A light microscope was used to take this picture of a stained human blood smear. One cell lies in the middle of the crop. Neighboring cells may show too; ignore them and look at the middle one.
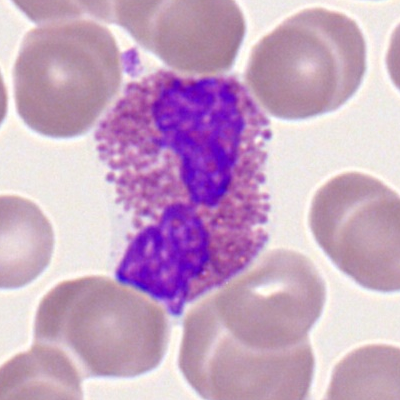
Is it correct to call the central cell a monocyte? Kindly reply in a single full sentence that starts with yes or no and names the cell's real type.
No, the cell in the centre of the crop is an eosinophil as opposed to a monocyte.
